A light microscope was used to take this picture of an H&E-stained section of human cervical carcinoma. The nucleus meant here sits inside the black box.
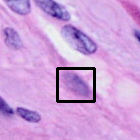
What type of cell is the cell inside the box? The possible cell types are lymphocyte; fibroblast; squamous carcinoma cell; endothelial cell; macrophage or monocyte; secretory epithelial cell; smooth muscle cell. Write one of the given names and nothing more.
endothelial cell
